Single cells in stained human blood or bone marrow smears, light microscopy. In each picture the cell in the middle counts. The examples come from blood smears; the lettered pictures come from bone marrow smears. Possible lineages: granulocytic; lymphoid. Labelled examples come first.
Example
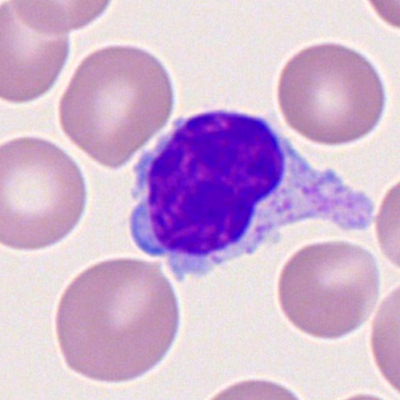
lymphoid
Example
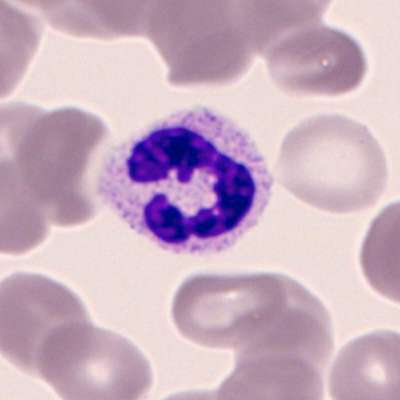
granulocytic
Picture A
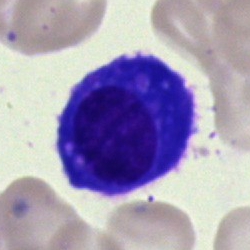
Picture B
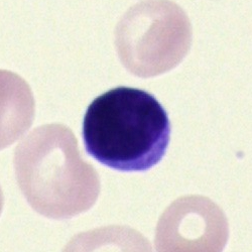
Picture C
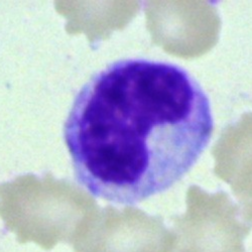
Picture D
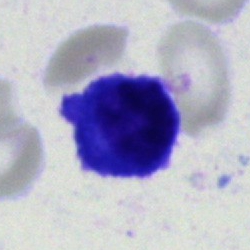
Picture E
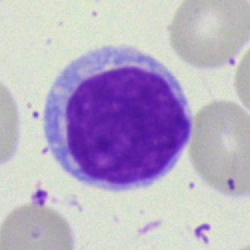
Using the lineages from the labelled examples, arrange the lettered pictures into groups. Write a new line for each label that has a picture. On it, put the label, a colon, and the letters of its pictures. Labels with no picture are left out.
granulocytic: C
lymphoid: A, B, D, E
